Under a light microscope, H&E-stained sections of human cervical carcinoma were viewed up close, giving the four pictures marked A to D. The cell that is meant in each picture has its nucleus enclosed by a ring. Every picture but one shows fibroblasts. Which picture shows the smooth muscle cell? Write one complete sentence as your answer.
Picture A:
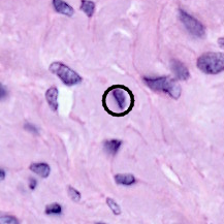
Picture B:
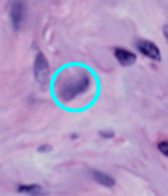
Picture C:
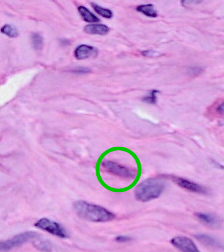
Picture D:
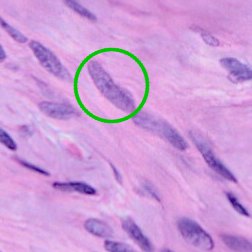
The picture with the smooth muscle cell is C.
